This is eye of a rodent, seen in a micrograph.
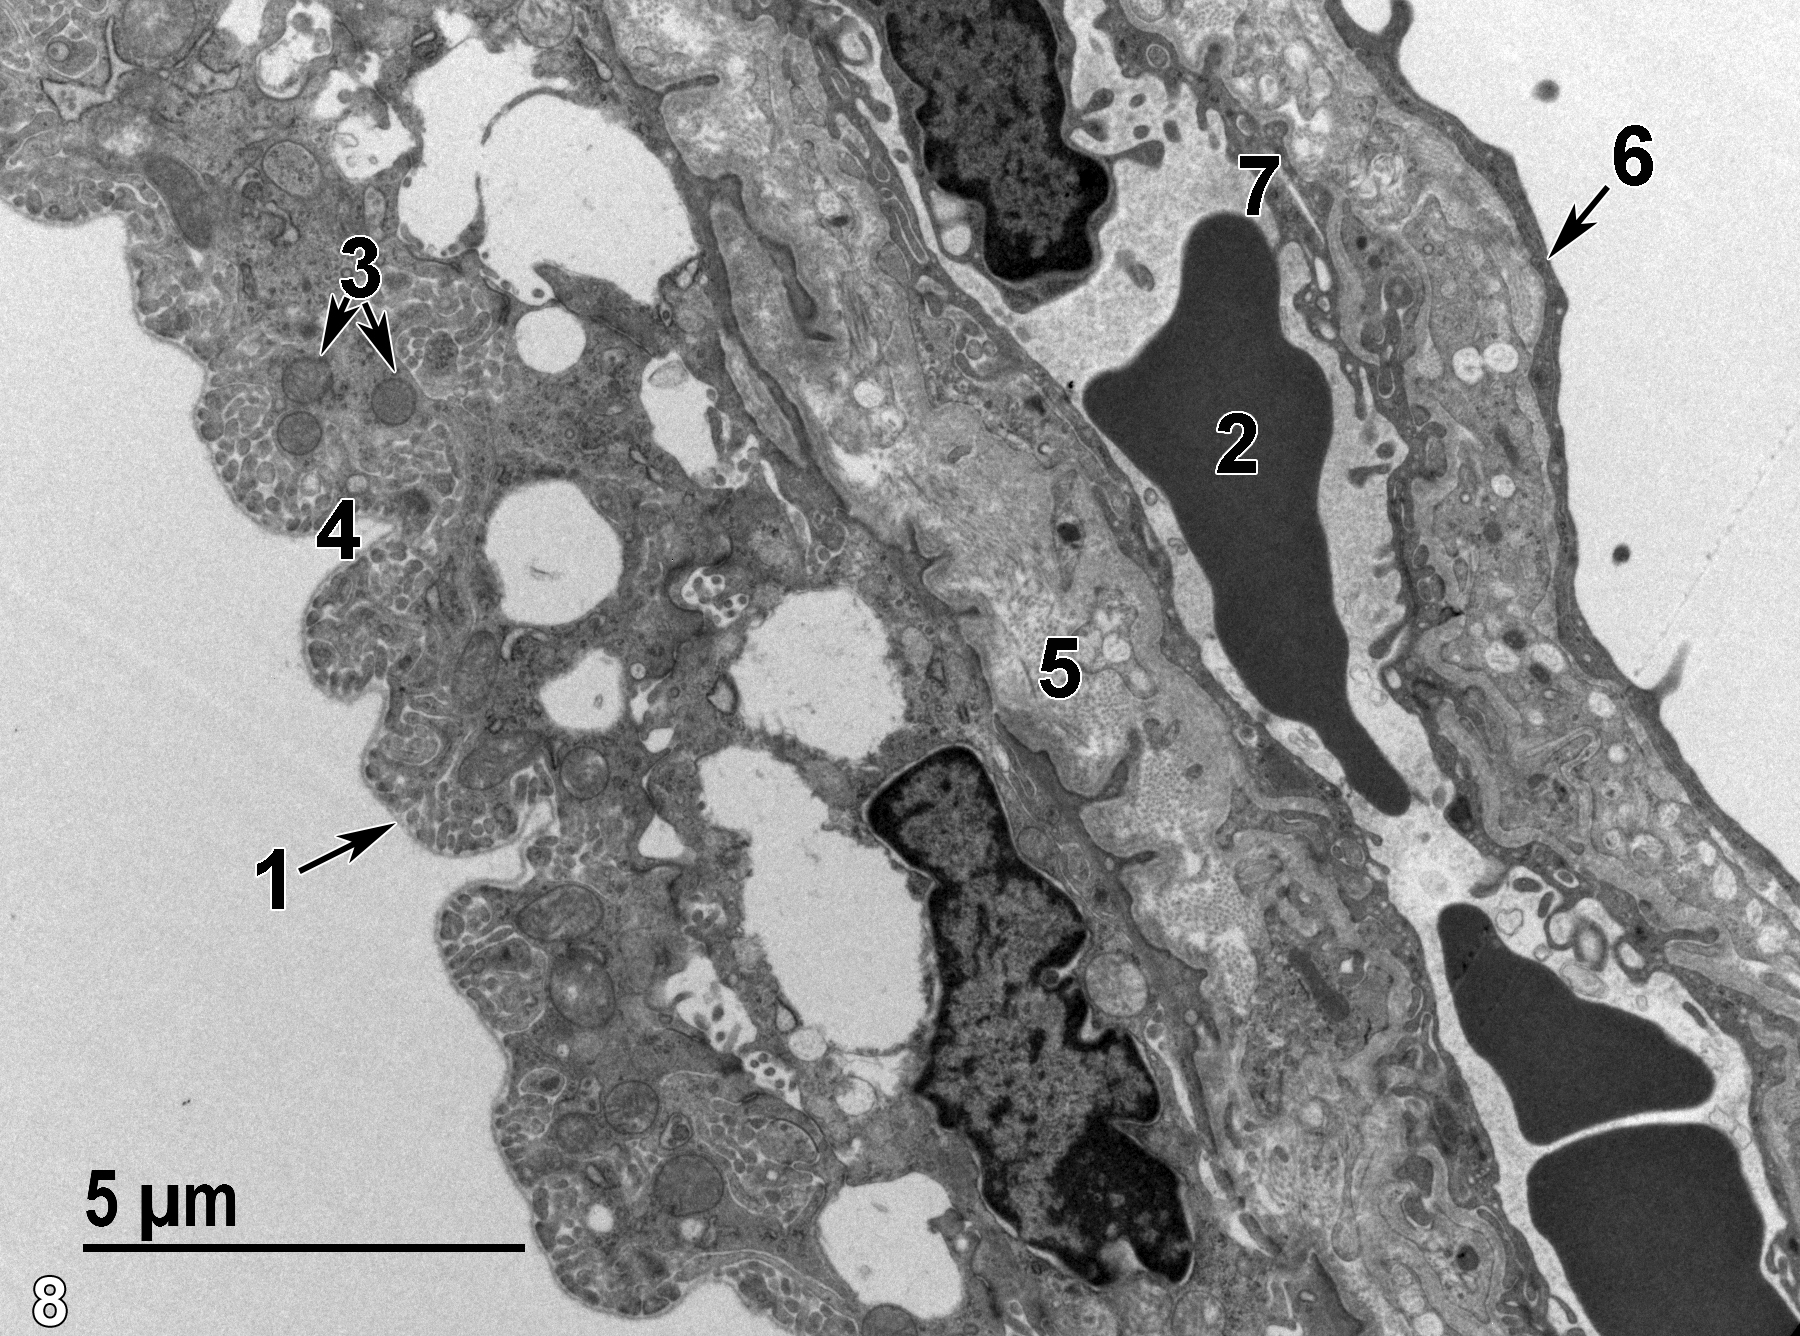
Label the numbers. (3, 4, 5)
3. mitochondria
4. infolded surfaces
5. ciliary stroma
